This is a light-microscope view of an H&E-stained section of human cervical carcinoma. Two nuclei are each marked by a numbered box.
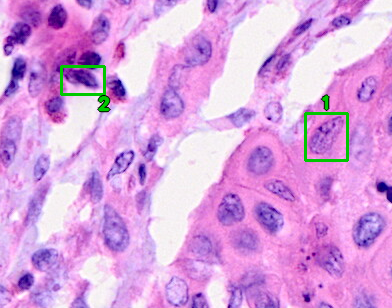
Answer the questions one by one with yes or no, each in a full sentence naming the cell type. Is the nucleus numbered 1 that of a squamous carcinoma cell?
Yes, the number 1 belongs to a squamous carcinoma cell.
